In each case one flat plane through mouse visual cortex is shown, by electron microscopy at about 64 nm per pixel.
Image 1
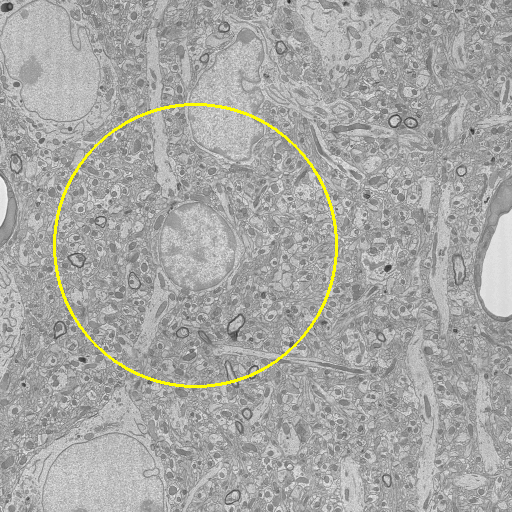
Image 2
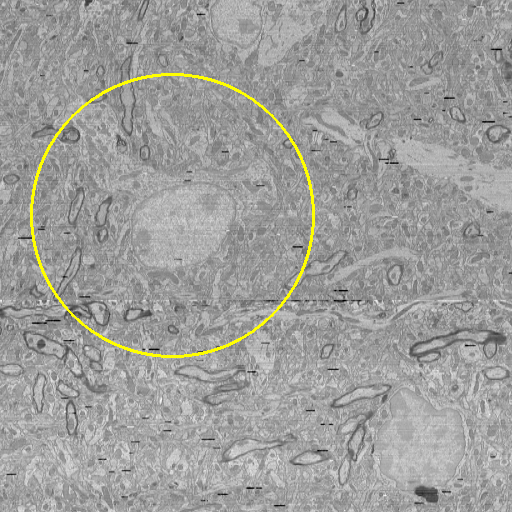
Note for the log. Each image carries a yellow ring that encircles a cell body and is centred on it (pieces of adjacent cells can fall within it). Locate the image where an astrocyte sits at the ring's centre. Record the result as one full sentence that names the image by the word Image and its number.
Image 2 has the wanted cell sitting at the centre of its ring.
